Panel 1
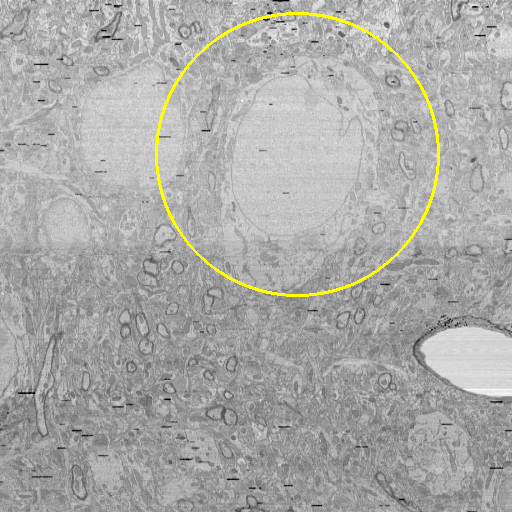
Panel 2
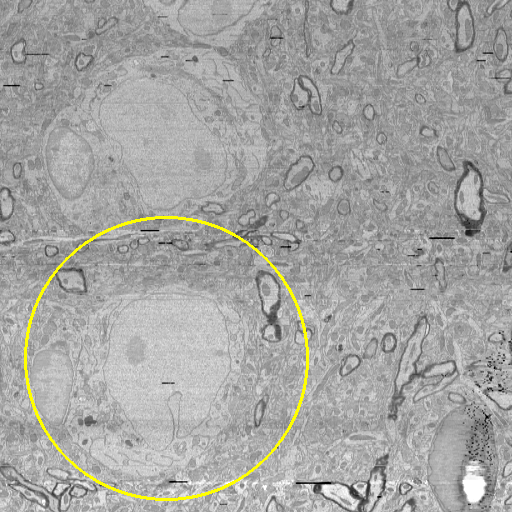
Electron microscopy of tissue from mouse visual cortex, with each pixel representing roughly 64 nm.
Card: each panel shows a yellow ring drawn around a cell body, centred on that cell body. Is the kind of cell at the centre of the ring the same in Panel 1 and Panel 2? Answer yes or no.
yes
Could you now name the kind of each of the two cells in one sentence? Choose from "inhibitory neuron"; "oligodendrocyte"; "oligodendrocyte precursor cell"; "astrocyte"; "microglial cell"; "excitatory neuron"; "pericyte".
In both pictures the ring is centred on an excitatory neuron.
